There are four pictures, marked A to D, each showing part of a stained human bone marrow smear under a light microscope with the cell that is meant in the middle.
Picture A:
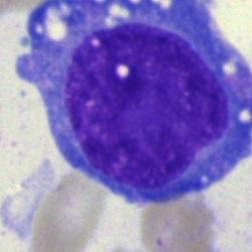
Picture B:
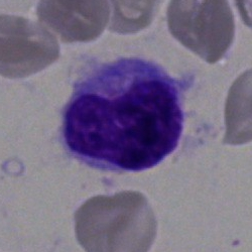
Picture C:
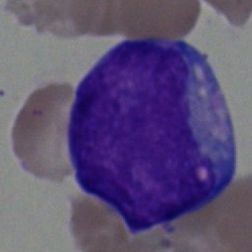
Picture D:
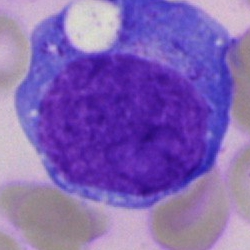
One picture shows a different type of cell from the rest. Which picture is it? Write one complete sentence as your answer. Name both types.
The different one is picture B; it shows a hairy cell, whereas all the others show blasts.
